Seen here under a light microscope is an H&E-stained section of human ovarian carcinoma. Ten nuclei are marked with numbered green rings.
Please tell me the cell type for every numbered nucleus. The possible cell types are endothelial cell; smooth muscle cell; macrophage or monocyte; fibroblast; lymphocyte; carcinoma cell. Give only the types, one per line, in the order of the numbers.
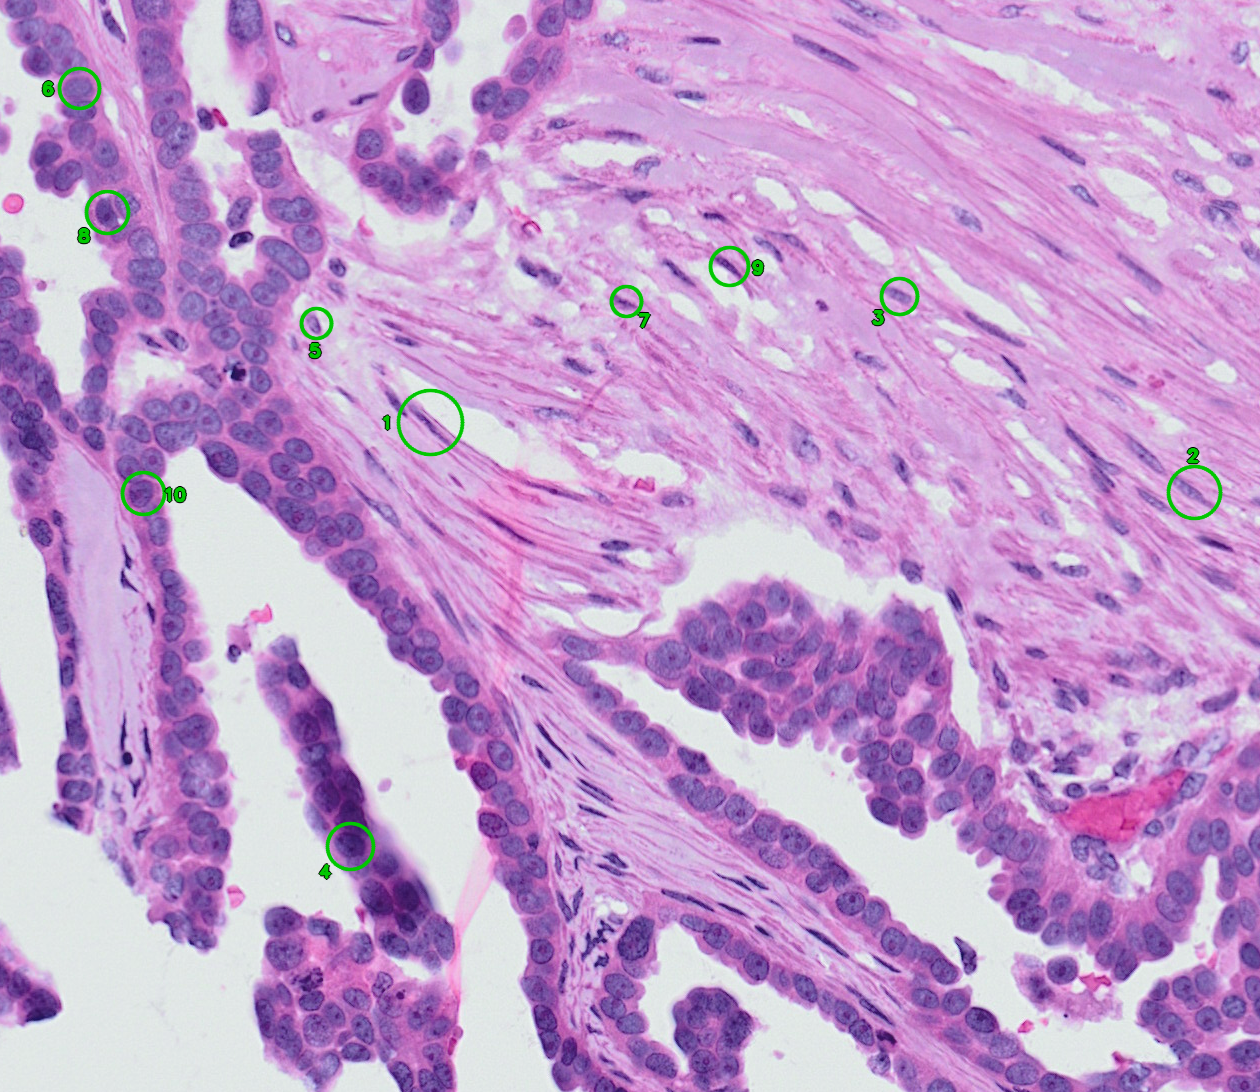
fibroblast
fibroblast
fibroblast
carcinoma cell
fibroblast
carcinoma cell
fibroblast
carcinoma cell
fibroblast
carcinoma cell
